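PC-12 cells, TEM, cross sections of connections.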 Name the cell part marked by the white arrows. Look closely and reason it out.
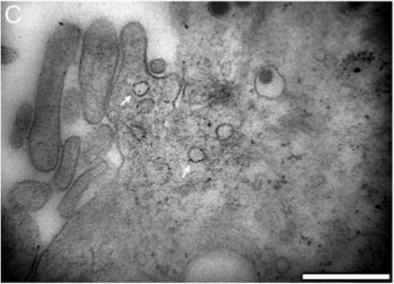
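Vesicles. The arrows point to small round profiles bounded by a dark membrane. They lie in the cytoplasm near elongated processes.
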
